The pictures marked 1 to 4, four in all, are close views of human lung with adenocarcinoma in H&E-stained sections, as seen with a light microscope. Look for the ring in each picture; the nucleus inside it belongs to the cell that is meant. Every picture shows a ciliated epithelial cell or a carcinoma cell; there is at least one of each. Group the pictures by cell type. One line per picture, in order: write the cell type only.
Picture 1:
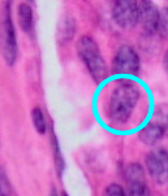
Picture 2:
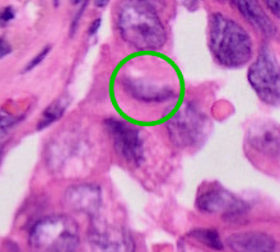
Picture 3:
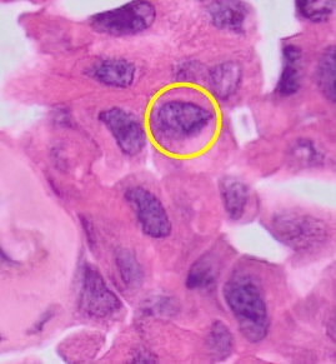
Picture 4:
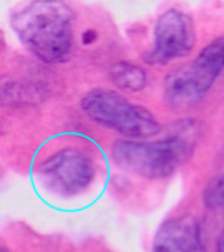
ciliated epithelial cell
carcinoma cell
carcinoma cell
carcinoma cell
